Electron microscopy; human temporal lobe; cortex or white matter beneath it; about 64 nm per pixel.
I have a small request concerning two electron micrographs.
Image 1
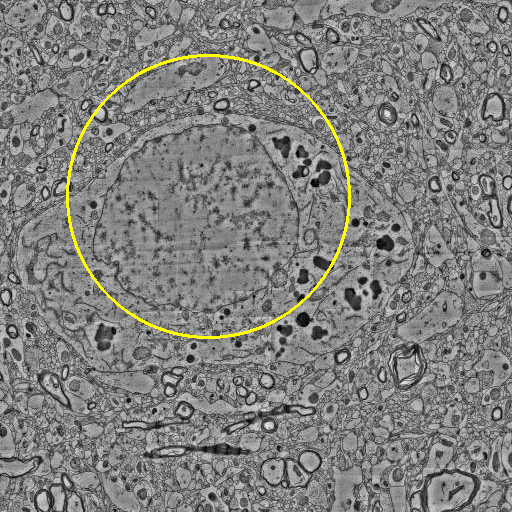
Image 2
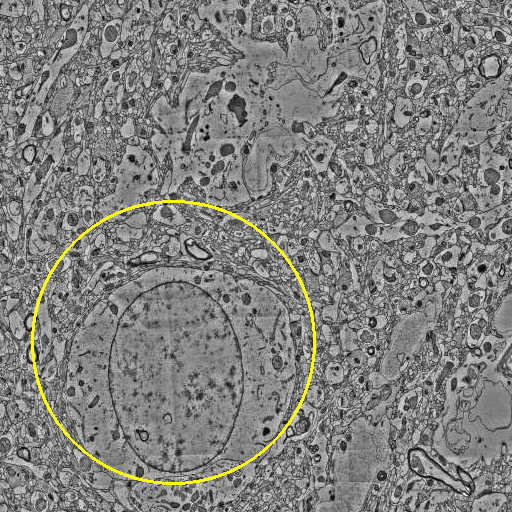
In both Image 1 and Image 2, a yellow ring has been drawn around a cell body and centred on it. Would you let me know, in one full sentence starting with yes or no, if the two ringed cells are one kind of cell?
Yes, the cells ringed in Image 1 and Image 2 are one kind of cell.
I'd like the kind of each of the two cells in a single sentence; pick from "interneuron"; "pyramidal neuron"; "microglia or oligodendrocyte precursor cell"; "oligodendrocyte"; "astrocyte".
Each of the two rings surrounds a pyramidal neuron.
